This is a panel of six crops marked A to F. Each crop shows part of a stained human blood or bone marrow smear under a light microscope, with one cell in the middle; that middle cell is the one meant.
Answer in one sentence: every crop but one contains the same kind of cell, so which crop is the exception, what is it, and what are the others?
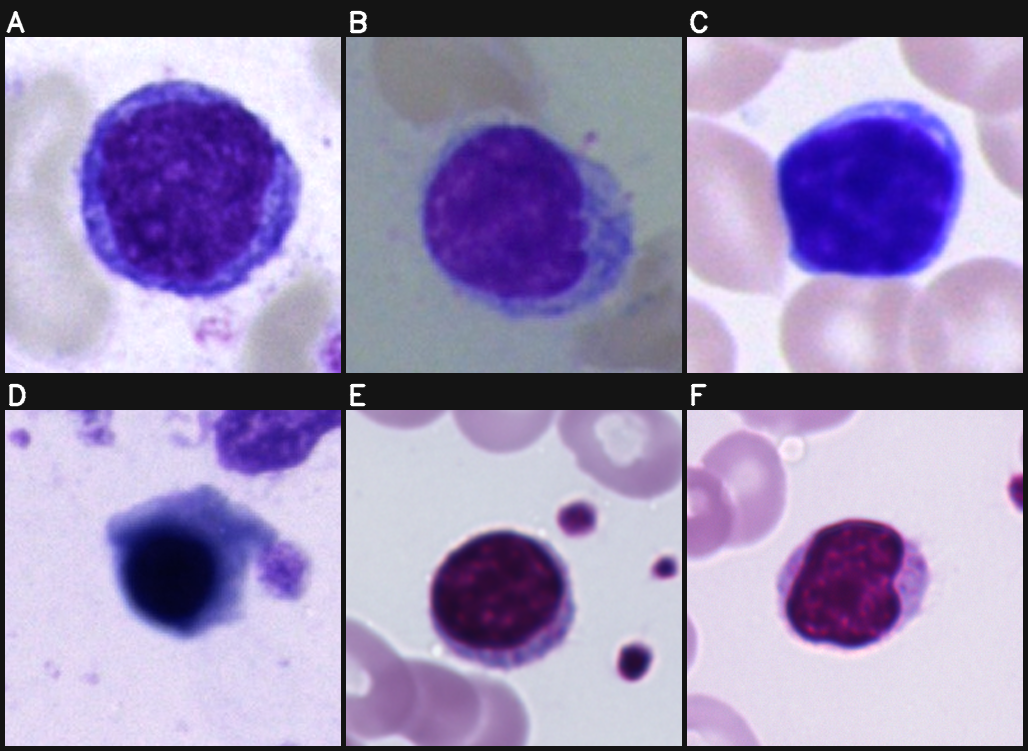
The different one is crop D, which is an erythroblast; the rest all show lymphocytes.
